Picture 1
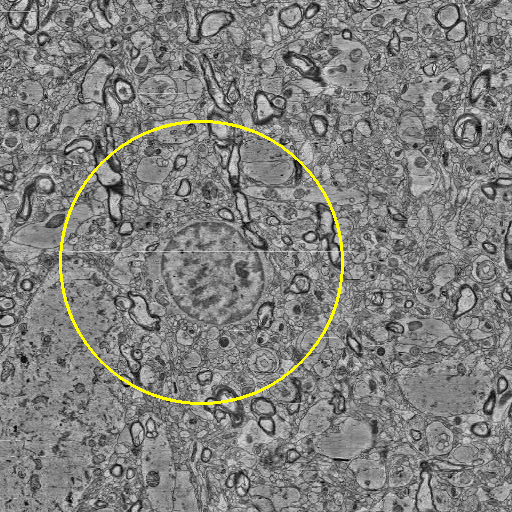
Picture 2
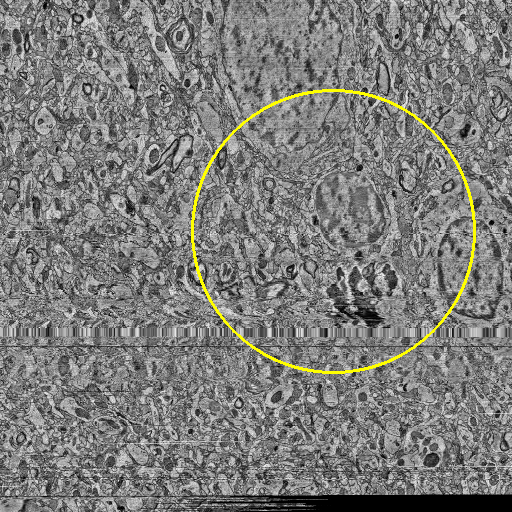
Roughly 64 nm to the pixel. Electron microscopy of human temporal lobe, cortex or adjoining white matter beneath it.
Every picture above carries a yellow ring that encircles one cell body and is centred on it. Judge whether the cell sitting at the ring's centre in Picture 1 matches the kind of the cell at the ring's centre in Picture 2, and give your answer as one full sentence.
No, the cells centred in the rings of Pictures 1 and 2 belong to two kinds.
